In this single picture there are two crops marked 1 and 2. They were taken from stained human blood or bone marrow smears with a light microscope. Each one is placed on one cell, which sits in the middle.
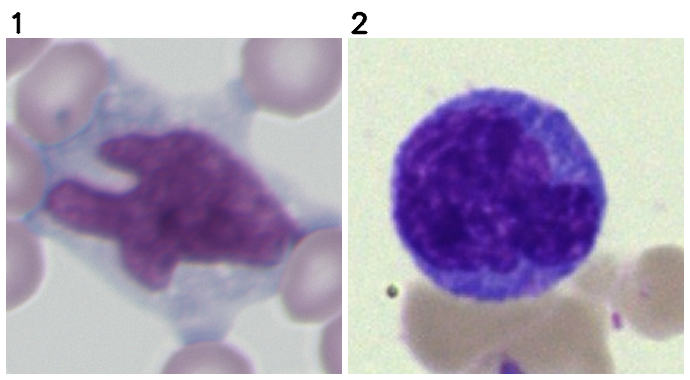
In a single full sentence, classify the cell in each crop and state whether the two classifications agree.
Yes, the two cells in the two crops are monocytes.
